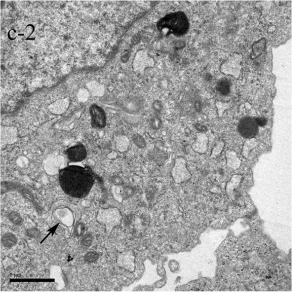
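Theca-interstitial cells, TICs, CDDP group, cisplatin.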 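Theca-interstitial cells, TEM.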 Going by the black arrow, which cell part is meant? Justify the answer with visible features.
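The arrow points at a small rounded membrane-bound vacuole in the cytoplasm. The answer: autophagy structure.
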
